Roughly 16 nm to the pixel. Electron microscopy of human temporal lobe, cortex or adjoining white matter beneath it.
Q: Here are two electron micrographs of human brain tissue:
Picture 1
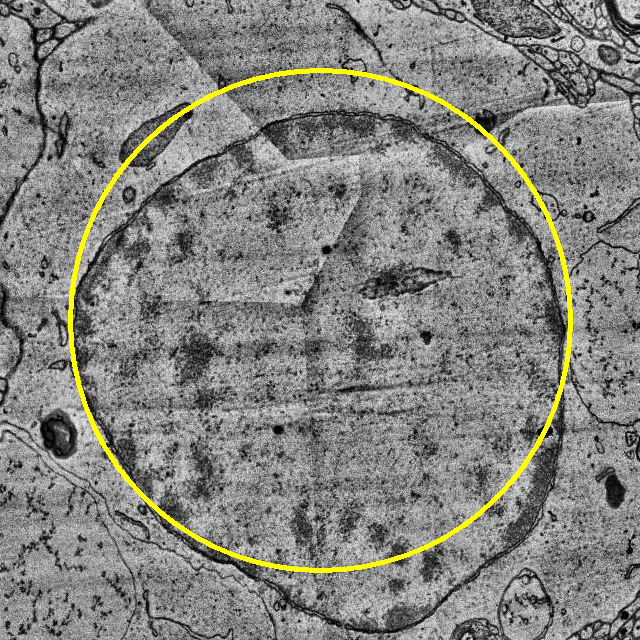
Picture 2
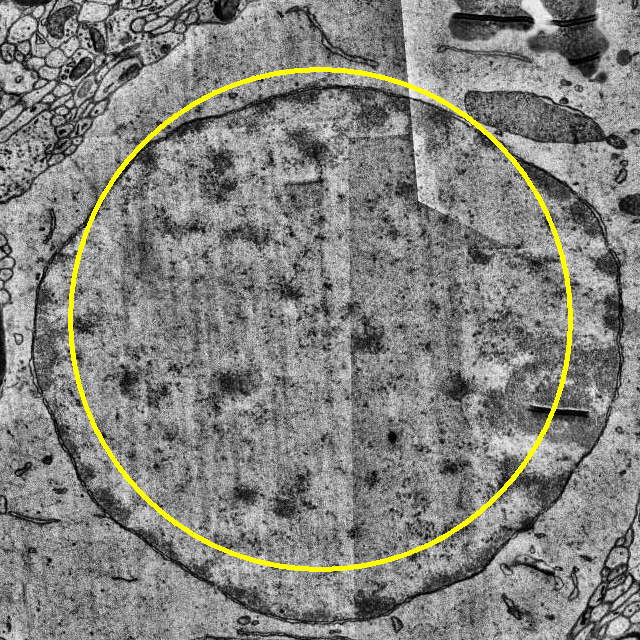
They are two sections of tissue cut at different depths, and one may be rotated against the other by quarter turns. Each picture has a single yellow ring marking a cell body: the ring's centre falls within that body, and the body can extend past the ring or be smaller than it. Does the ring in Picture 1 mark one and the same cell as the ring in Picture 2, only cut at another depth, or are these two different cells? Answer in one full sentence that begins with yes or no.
Yes, one cell is ringed in yellow twice over.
